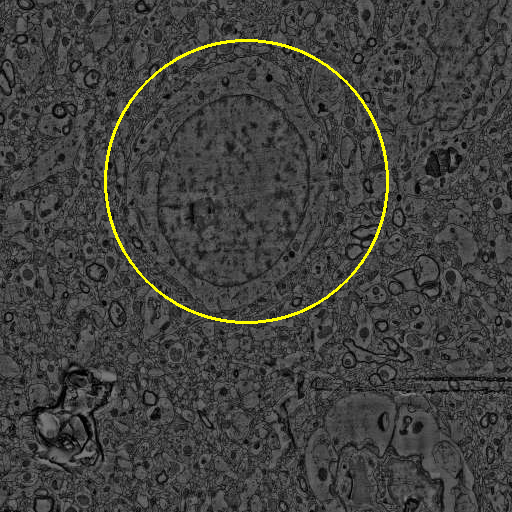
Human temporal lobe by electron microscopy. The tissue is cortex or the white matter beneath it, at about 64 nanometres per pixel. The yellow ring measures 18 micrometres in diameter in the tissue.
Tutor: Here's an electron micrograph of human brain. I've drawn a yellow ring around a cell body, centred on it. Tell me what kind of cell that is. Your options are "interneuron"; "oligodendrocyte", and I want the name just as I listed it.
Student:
interneuron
